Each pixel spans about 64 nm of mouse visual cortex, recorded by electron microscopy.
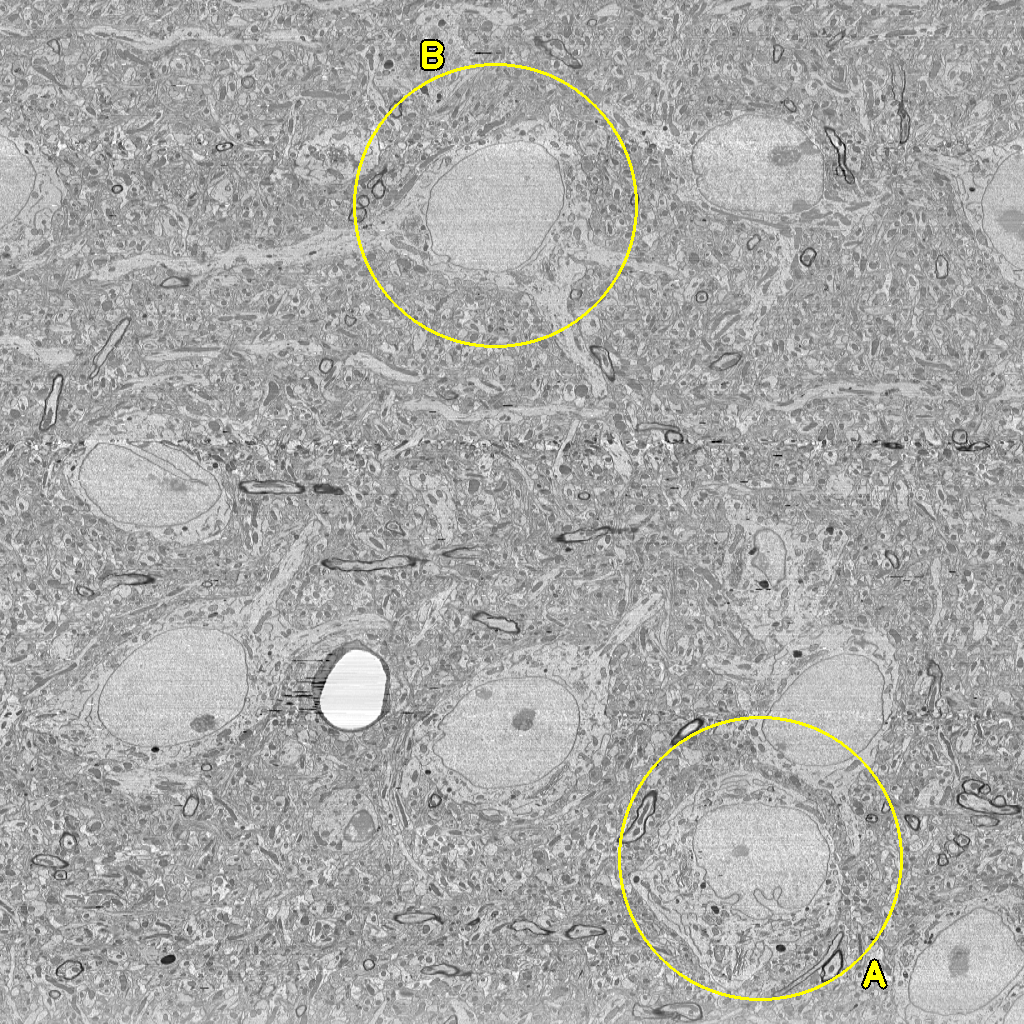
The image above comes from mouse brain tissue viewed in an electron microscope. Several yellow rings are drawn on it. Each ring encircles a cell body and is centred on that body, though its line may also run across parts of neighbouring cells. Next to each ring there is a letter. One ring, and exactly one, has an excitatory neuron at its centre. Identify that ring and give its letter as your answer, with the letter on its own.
B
